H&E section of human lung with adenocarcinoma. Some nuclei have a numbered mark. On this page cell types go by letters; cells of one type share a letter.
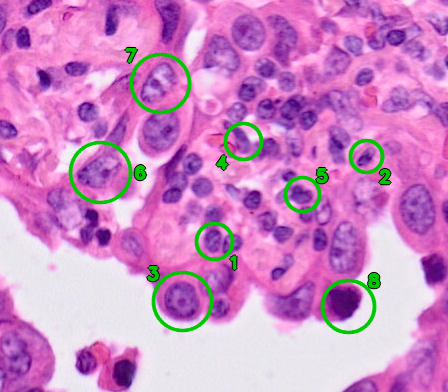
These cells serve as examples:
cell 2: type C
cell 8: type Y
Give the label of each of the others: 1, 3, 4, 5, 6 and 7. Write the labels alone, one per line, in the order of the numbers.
type C
type Y
type C
type C
type Y
type Y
